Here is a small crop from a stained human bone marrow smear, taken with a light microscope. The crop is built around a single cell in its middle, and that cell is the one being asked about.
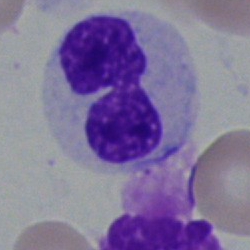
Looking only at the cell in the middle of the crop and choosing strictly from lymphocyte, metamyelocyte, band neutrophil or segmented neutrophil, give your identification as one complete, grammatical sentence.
Where the crop is centred, there is a segmented neutrophil.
